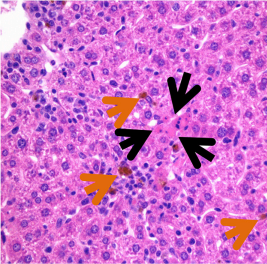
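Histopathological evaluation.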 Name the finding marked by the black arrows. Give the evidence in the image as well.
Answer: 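Apoptotic bodies. The black arrows converge on a small, intensely pink body among the hepatocytes. A few small dark nuclei lie clustered around it.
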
